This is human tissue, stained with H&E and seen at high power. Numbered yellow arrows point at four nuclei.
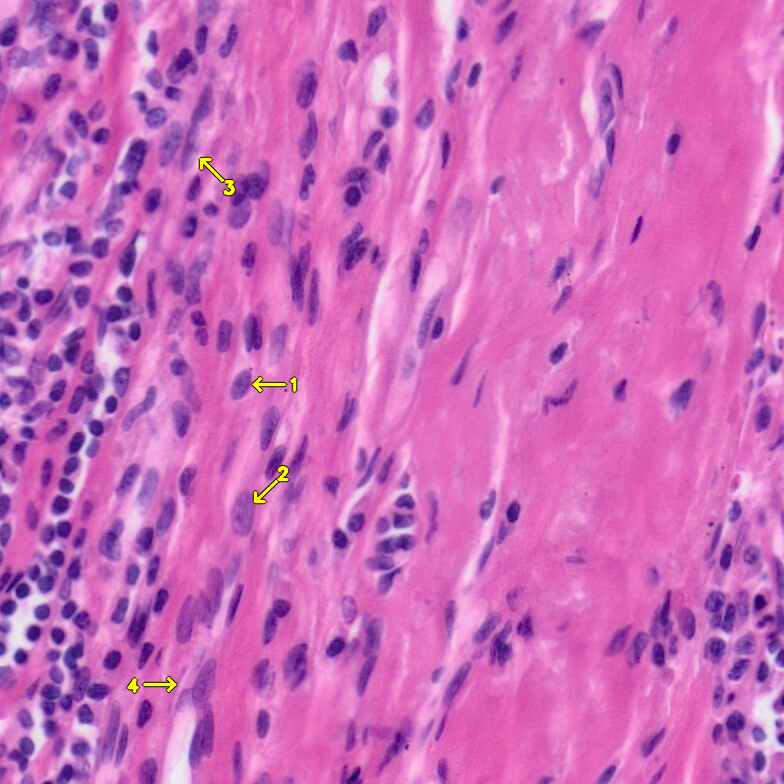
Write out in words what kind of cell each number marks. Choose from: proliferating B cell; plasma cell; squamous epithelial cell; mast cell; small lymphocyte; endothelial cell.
Cell 1 is a mast cell, cell 2 is an endothelial cell, cell 3 is an endothelial cell and cell 4 is an endothelial cell.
